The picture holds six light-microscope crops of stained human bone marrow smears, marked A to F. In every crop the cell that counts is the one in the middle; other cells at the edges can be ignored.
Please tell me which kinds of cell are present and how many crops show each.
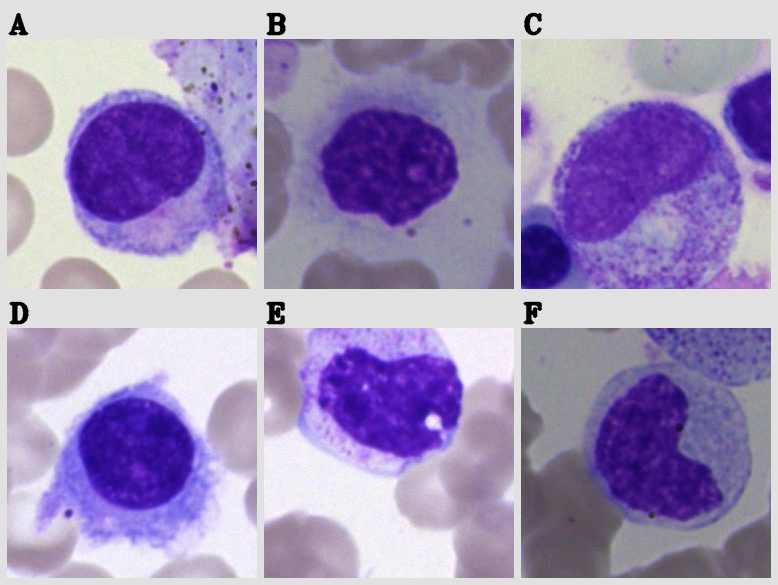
hairy cell: 3
metamyelocyte: 3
